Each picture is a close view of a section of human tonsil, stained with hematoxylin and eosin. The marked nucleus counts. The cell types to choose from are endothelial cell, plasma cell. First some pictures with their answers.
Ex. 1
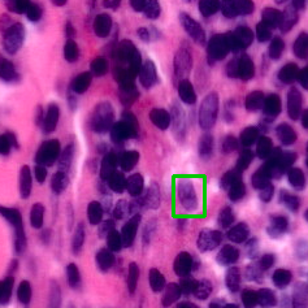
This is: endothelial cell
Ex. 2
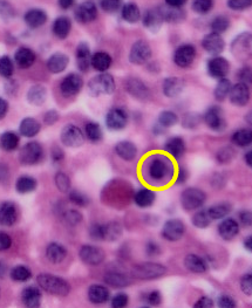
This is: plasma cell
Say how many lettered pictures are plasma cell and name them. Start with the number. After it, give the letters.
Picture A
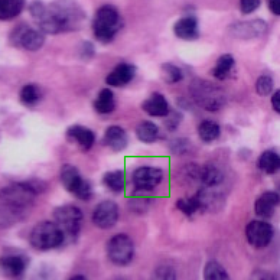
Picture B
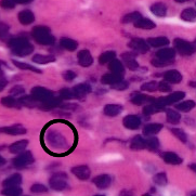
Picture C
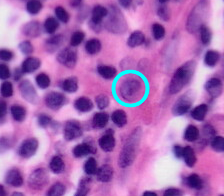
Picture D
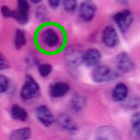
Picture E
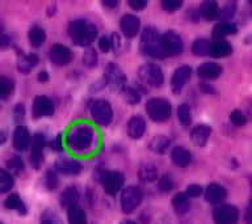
3: A, D, E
